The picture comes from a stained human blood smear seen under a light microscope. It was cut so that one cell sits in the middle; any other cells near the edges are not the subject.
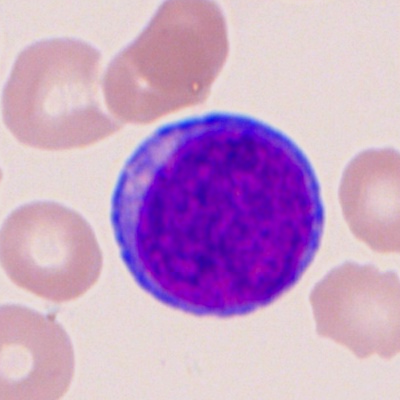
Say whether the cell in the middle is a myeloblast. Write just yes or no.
yes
